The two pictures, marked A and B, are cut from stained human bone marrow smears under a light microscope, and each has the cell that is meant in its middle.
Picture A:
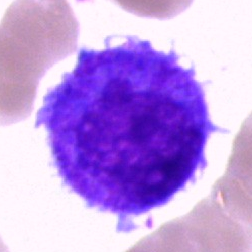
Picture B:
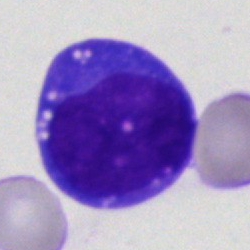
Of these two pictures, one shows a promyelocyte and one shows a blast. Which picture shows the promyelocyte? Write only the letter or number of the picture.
A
